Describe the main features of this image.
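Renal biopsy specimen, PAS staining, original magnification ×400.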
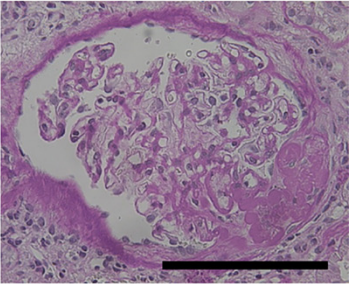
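A thick, pink capsule wraps around it, and a wide, empty space separates the capsule from the tuft of capillary loops. The tuft is shrunken toward one side rather than filling the space. On the right part of the tuft the loops are no longer open; that segment is a solid, smooth pink mass. Elsewhere in the tuft, thin pink loops with scattered nuclei can still be followed. Outside the capsule lies interstitium with scattered nuclei.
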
